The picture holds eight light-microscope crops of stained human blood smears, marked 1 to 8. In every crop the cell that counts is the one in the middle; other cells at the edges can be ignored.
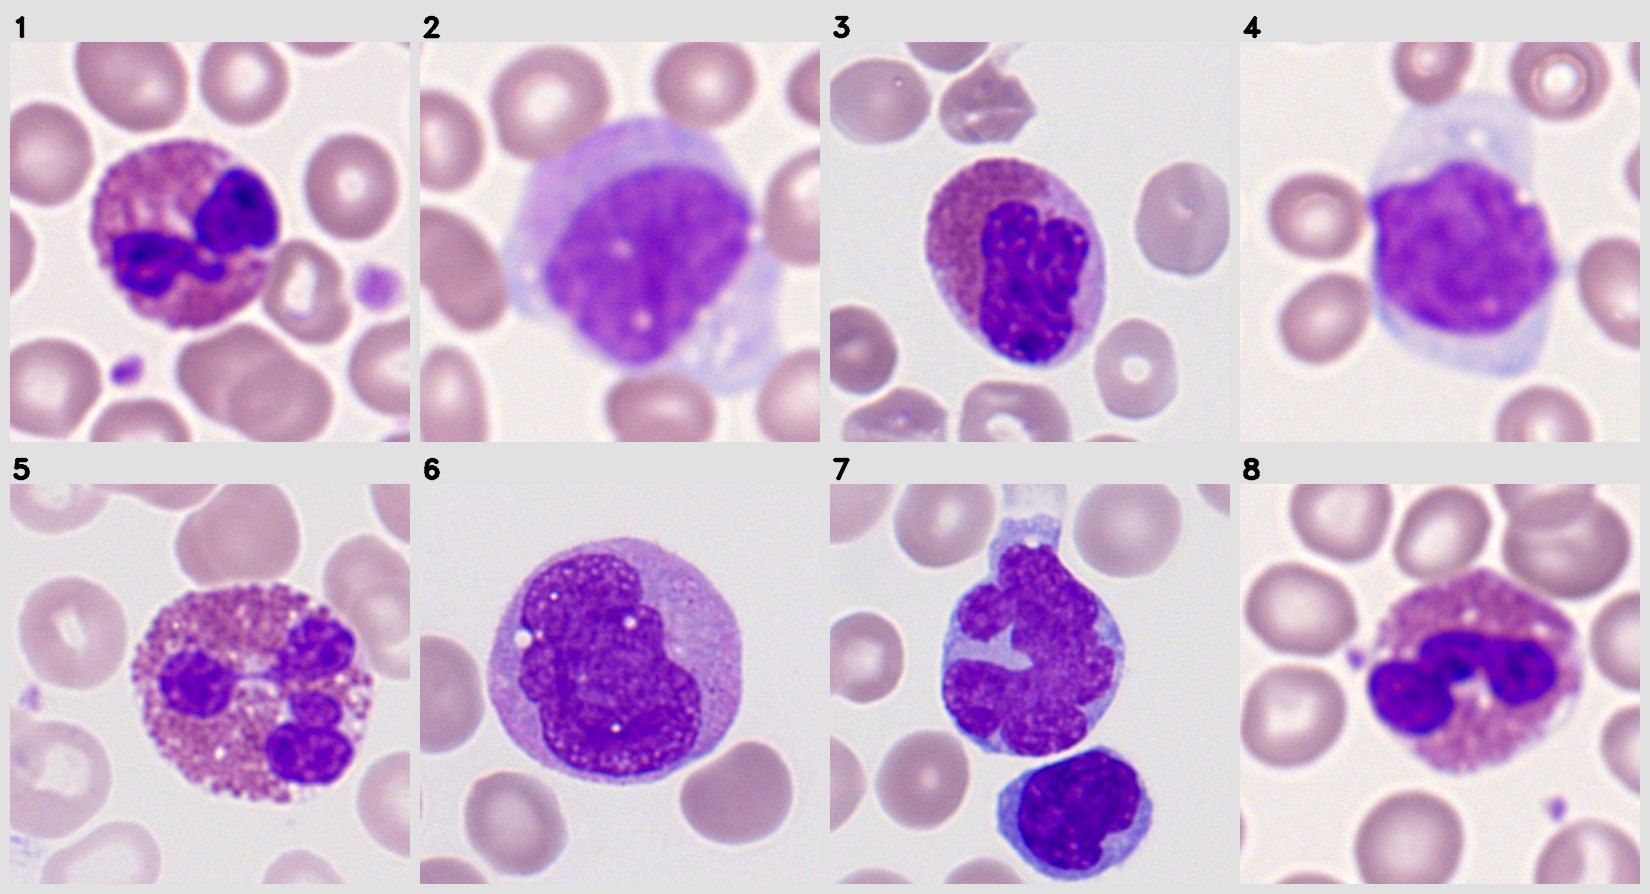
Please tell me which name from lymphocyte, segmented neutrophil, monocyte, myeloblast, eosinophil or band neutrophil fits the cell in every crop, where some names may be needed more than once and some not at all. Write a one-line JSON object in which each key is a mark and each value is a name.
{"1": "eosinophil", "2": "monocyte", "3": "eosinophil", "4": "monocyte", "5": "eosinophil", "6": "monocyte", "7": "monocyte", "8": "eosinophil"}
